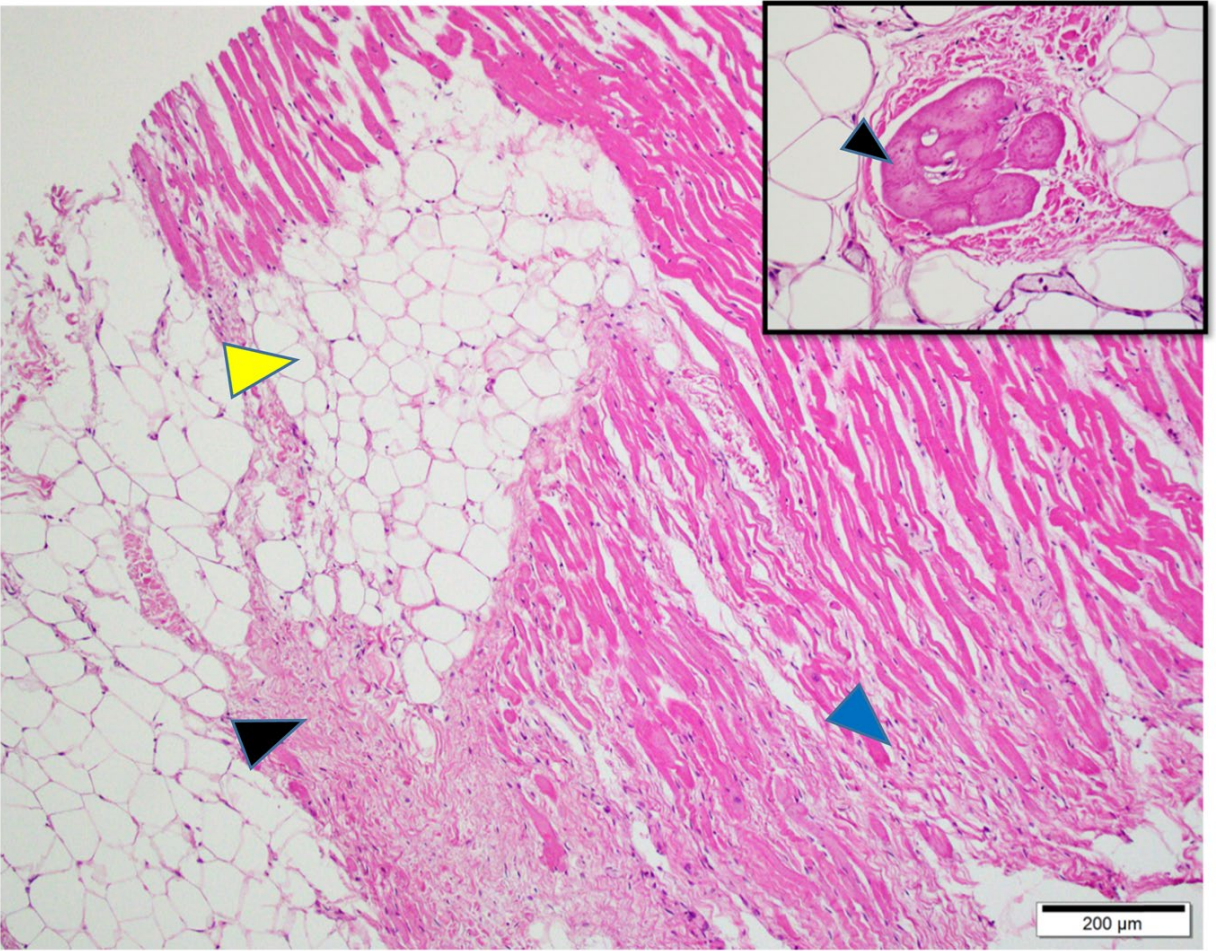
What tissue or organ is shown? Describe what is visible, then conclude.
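Long pink striated muscle fibres with central nuclei run in parallel bundles. Fat tissue lies among the muscle bundles. On this evidence: heart.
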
